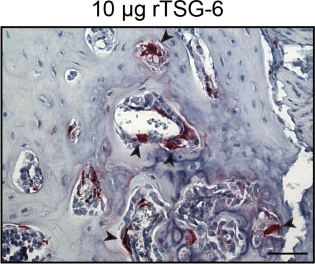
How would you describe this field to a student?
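Here a wide area of pale bone matrix with many small lacunae is pierced by several rounded cavities holding cells with blue nuclei. Deep red-stained osteoclasts sit against the inner walls of these cavities, hugging the bone surface, often in clusters.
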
